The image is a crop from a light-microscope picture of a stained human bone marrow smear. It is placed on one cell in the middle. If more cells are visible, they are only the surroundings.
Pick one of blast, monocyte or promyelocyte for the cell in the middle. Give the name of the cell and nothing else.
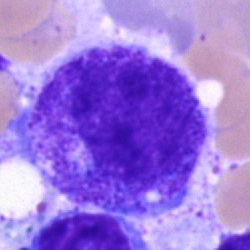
promyelocyte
